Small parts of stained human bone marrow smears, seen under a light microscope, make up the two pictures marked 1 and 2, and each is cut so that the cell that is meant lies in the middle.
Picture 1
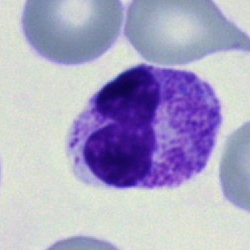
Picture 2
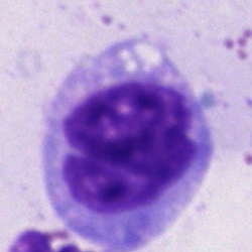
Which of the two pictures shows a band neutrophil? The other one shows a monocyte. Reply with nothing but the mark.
1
